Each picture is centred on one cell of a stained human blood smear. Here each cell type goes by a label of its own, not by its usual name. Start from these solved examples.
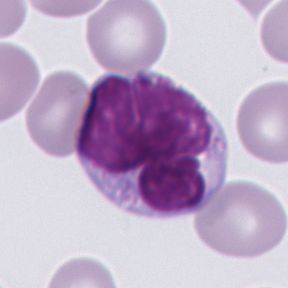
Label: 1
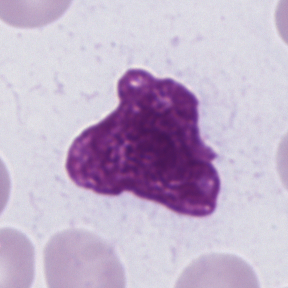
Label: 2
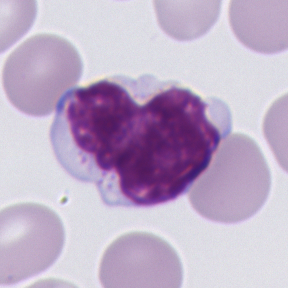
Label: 1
